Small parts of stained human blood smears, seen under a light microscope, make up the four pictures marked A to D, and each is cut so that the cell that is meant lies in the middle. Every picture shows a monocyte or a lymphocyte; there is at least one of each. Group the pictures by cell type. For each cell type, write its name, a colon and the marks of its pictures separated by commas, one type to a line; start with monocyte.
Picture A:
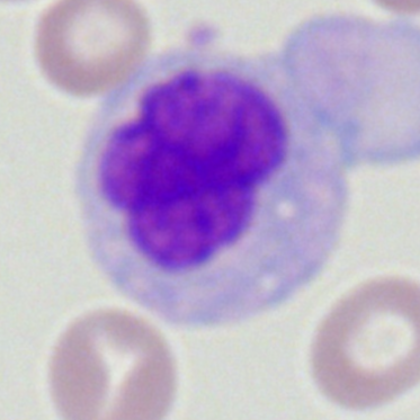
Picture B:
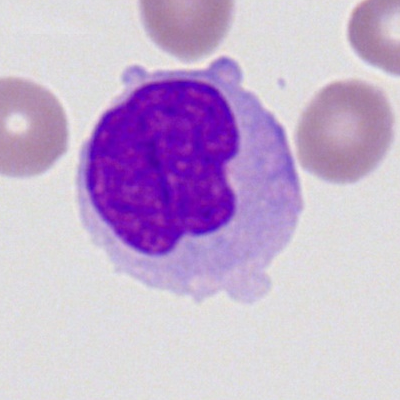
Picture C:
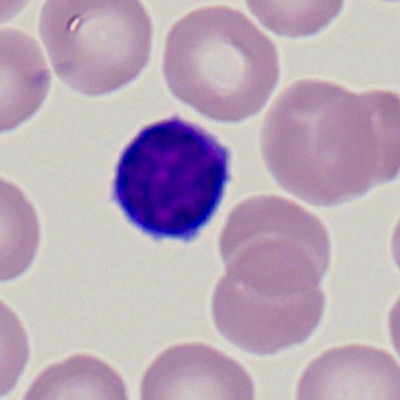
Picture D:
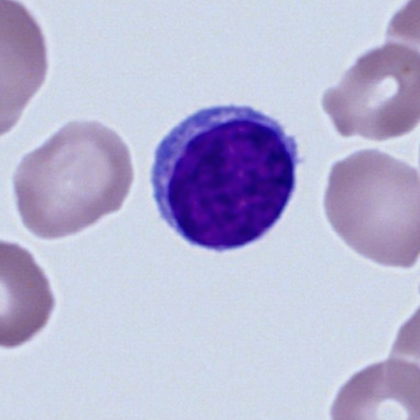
monocyte: A, B
lymphocyte: C, D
